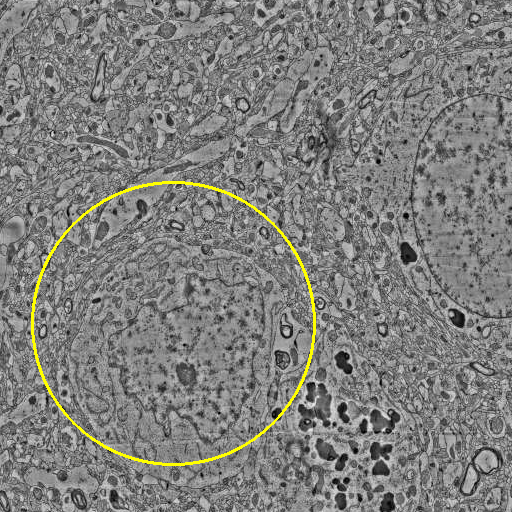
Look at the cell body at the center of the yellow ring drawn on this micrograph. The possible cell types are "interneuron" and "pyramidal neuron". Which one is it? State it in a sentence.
The cell in the middle of the ring is an interneuron.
